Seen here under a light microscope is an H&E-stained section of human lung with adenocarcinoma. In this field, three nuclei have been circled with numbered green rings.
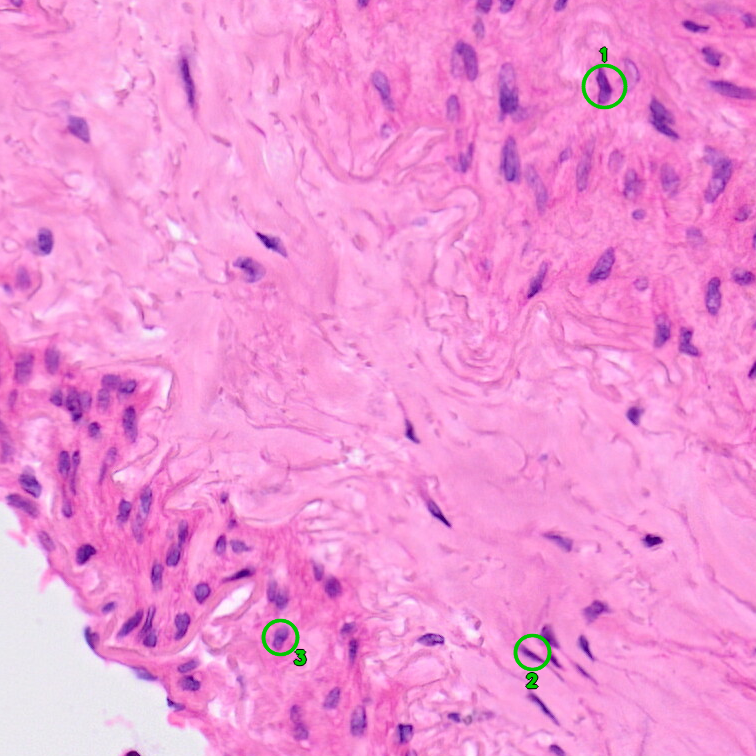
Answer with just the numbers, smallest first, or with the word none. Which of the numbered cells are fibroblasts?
2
